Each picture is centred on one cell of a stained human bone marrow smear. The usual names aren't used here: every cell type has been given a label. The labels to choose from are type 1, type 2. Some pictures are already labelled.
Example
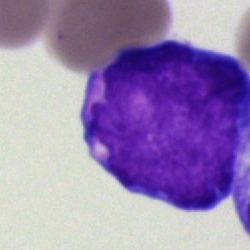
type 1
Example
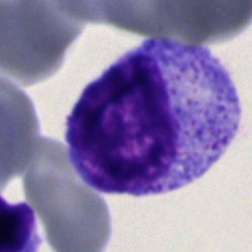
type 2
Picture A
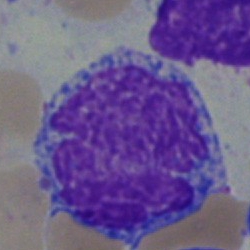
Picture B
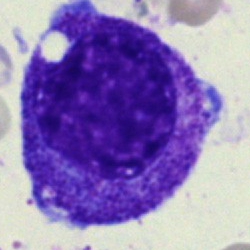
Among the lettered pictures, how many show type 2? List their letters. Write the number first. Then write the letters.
Count: 1 (B)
